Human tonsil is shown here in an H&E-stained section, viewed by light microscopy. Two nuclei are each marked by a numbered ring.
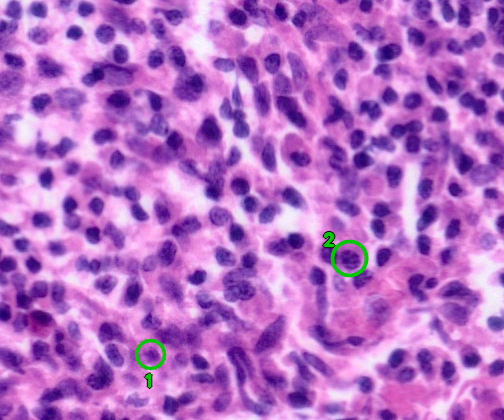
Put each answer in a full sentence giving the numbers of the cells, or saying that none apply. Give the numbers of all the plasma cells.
Of the cells bearing numbers, the only one that is a plasma cell is cell 2.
